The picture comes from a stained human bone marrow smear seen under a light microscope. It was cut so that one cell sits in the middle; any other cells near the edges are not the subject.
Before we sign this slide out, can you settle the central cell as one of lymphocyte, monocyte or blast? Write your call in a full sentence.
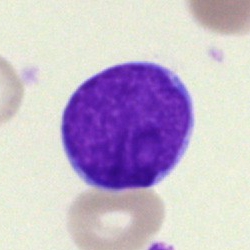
The centrally located cell in the crop is a blast.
